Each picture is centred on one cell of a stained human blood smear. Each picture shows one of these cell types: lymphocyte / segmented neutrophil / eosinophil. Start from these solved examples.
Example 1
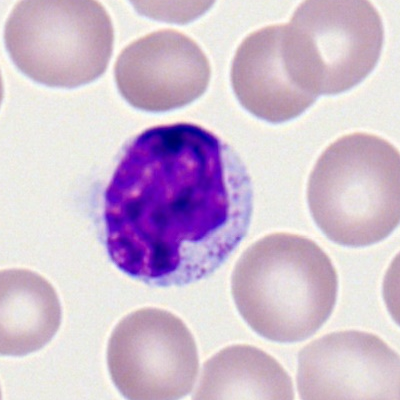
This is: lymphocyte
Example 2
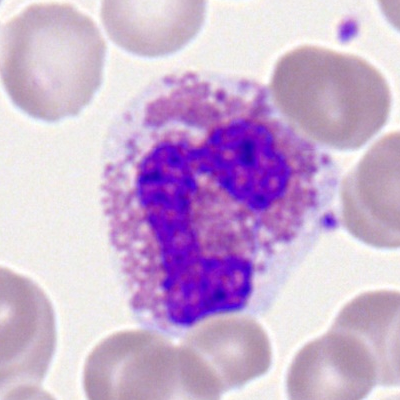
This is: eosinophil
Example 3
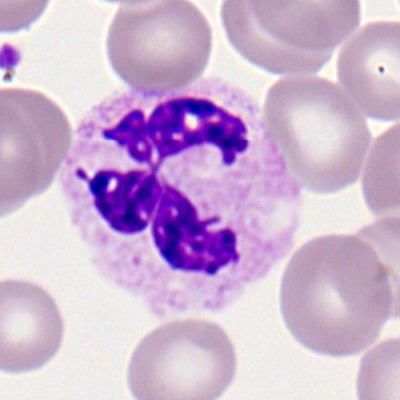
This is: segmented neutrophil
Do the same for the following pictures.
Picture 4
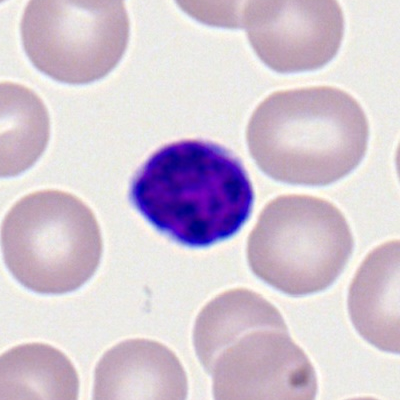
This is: lymphocyte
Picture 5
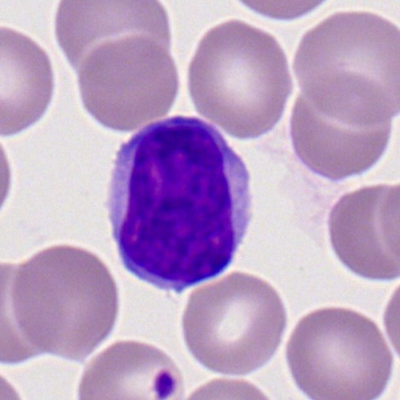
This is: lymphocyte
